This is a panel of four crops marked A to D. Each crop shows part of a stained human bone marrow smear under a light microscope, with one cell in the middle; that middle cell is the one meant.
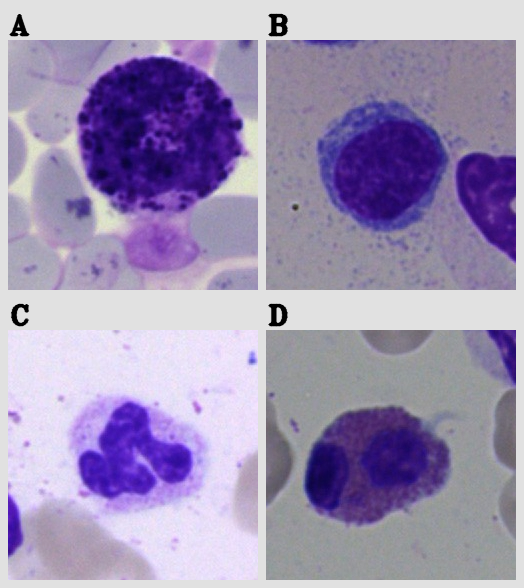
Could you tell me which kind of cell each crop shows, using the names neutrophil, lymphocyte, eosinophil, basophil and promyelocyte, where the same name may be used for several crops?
A: basophil
B: lymphocyte
C: neutrophil
D: eosinophil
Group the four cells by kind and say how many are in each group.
basophil: 1
lymphocyte: 1
neutrophil: 1
eosinophil: 1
